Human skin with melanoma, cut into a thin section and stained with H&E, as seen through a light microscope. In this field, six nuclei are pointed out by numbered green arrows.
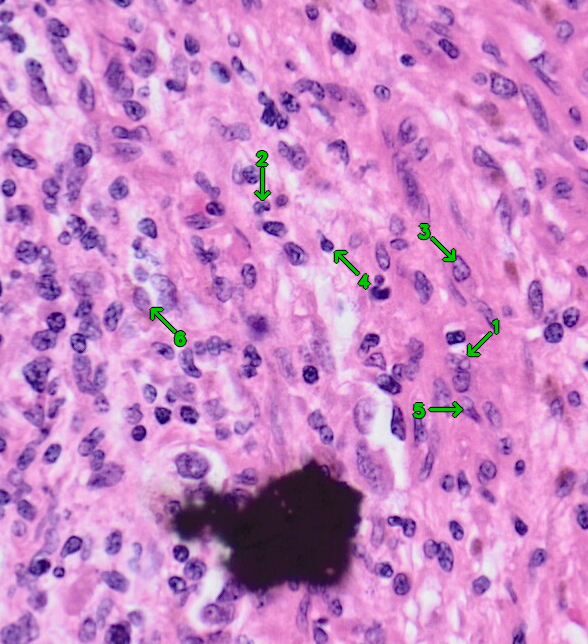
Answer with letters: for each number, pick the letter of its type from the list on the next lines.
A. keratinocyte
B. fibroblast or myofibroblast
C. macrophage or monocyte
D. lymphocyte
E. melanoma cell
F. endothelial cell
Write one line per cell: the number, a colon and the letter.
1: F
2: D
3: F
4: D
5: F
6: C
